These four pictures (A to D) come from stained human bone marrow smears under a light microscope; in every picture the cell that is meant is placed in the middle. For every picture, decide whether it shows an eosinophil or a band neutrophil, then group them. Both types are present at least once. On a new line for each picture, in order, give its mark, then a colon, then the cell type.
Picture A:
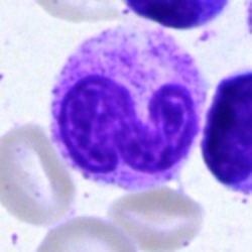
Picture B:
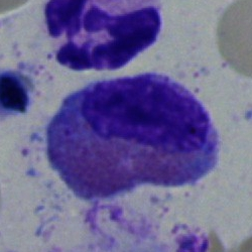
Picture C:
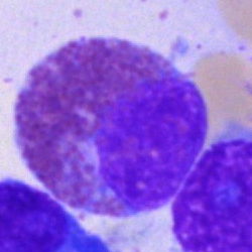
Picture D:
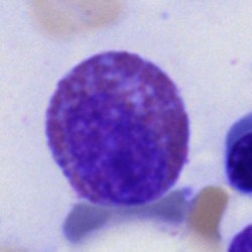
A: band neutrophil
B: eosinophil
C: eosinophil
D: eosinophil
